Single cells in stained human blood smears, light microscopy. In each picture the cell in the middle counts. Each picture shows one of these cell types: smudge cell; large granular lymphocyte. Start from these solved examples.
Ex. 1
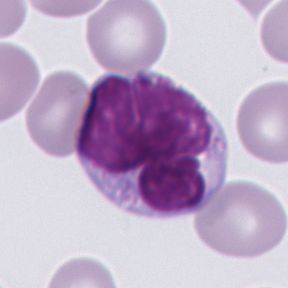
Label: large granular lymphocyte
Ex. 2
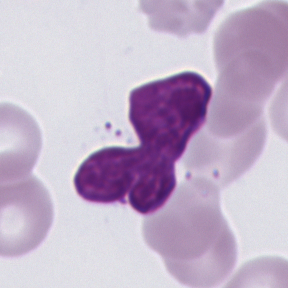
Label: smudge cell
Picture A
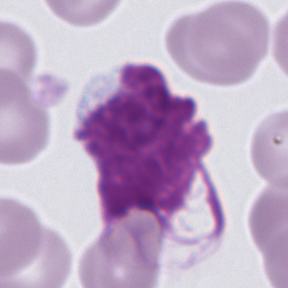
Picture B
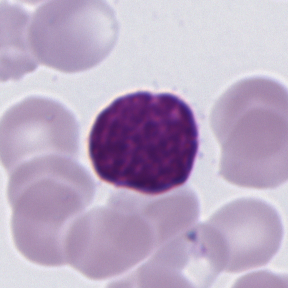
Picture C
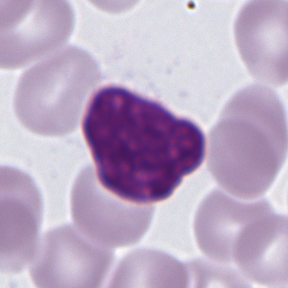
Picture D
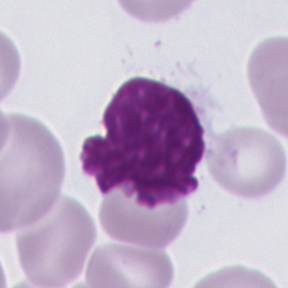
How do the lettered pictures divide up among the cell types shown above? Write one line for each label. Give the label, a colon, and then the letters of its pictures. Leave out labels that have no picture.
smudge cell: A, B, C, D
